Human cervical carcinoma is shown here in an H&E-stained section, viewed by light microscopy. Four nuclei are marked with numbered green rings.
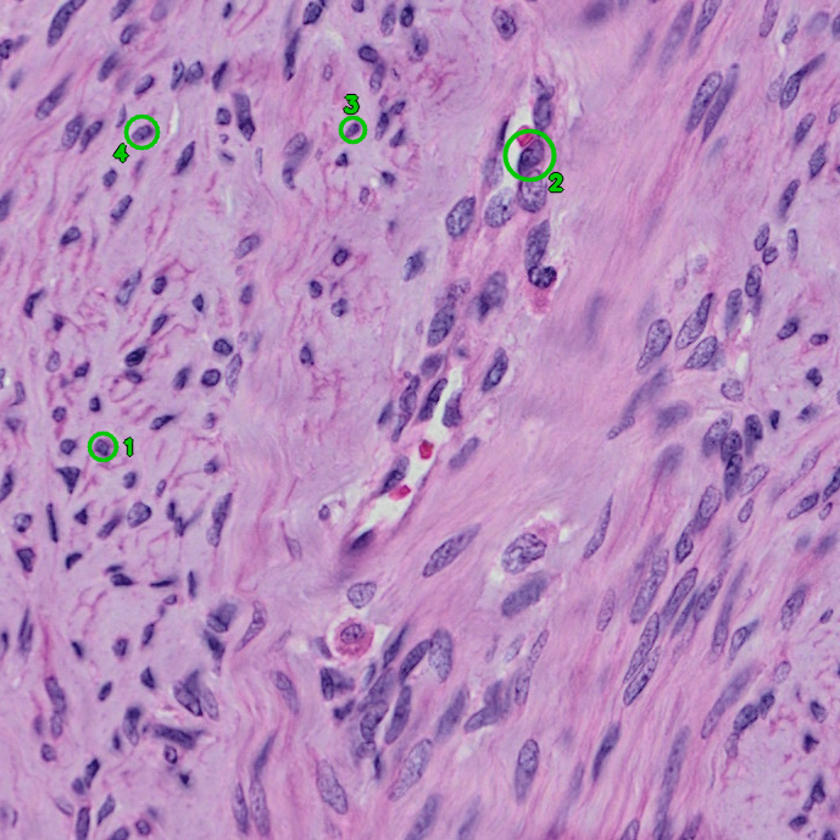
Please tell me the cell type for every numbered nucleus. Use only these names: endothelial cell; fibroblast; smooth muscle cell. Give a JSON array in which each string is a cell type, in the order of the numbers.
["smooth muscle cell", "endothelial cell", "smooth muscle cell", "smooth muscle cell"]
